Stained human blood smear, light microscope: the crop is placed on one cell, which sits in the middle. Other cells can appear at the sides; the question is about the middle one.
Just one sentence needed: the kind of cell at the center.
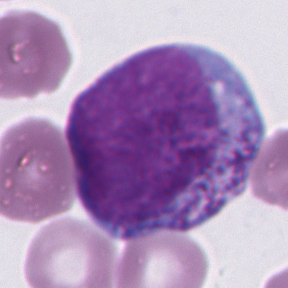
The cell that lies at the centre of the crop is a promyelocyte.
